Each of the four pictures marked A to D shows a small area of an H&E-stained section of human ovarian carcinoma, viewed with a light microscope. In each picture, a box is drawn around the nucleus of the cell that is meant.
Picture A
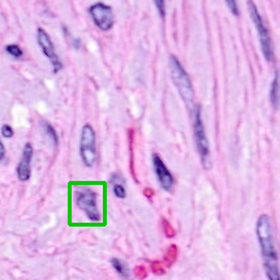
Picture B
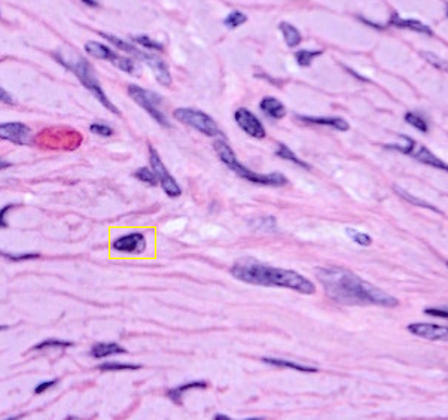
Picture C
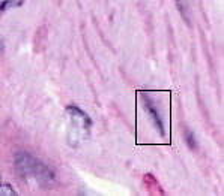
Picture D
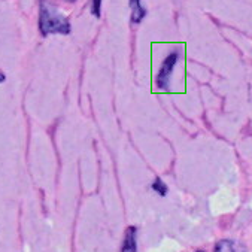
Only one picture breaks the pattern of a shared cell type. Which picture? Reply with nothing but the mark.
B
